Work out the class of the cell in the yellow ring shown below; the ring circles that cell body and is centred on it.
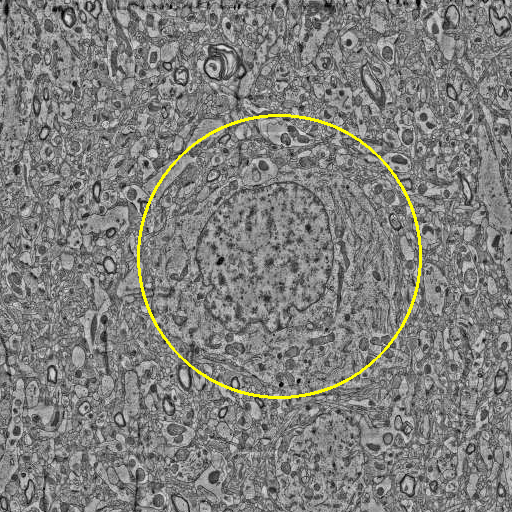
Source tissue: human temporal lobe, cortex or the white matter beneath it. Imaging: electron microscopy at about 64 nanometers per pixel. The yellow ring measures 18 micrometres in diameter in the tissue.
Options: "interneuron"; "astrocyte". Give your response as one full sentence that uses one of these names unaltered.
The body ringed in yellow, right at the ring's centre, is that of an interneuron.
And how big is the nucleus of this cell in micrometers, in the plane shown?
About 10 by 9 micrometres in this plane.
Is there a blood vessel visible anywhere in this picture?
No, there is no blood vessel.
